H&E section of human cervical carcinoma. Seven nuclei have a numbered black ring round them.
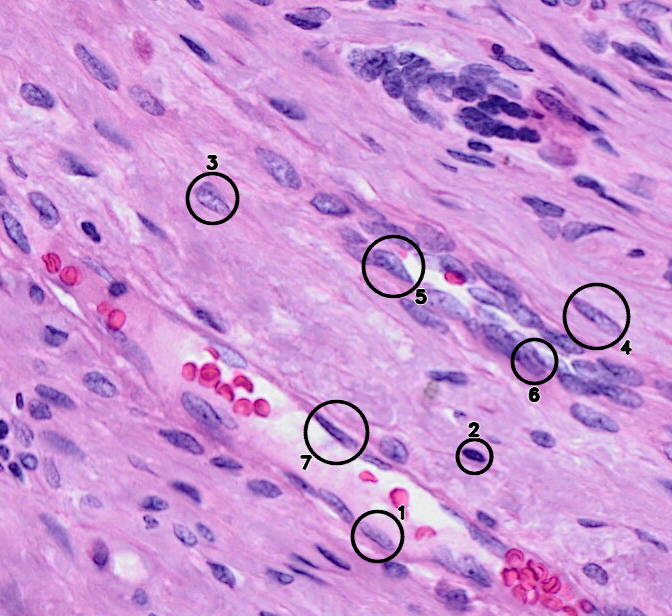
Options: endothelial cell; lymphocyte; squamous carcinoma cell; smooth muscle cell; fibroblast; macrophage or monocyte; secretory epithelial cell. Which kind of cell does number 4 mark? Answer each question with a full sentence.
The one numbered 4 among the marked cells is a smooth muscle cell.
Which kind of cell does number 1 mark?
Here the cell numbered 1 is an endothelial cell.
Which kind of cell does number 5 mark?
Recognised here as an endothelial cell is the cell numbered 5.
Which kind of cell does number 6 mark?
The cell referred to as 6 is an endothelial cell.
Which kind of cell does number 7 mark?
The nucleus labeled 7 belongs to an endothelial cell.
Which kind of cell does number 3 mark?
The cell identified by the number 3 is a smooth muscle cell.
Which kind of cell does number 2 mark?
The marked cell bearing number 2 is a lymphocyte.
